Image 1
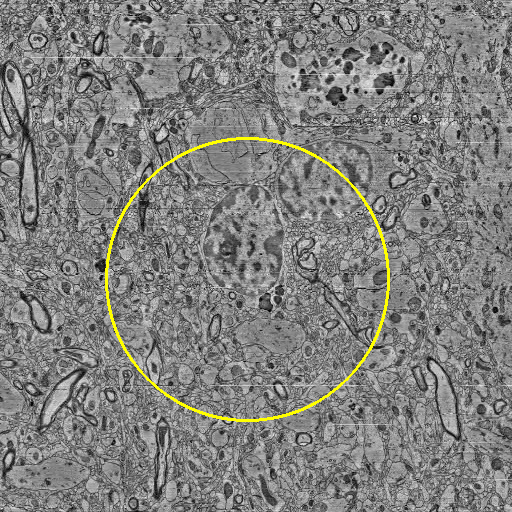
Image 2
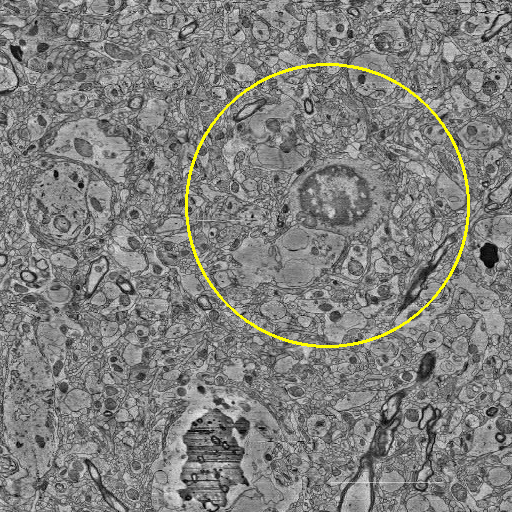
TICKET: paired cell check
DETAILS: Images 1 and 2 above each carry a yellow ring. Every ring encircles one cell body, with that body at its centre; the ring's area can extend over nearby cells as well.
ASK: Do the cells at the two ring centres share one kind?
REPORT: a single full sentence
No, the ring-centre cells of Images 1 and 2 belong to two kinds.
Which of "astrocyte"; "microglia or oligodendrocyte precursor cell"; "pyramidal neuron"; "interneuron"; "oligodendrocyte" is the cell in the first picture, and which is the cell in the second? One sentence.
The two differ: the first cell is a microglial cell or oligodendrocyte precursor cell and the second is an oligodendrocyte.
